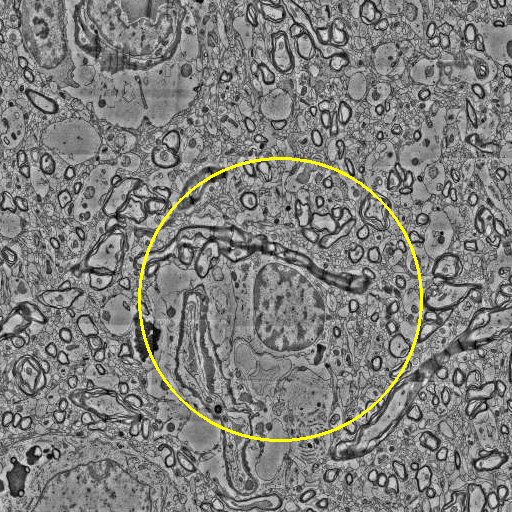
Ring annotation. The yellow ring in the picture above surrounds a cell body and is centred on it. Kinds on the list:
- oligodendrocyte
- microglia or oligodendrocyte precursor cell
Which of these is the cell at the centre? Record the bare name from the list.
microglia or oligodendrocyte precursor cell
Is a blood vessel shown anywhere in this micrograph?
Yes, a blood vessel is present in this picture.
